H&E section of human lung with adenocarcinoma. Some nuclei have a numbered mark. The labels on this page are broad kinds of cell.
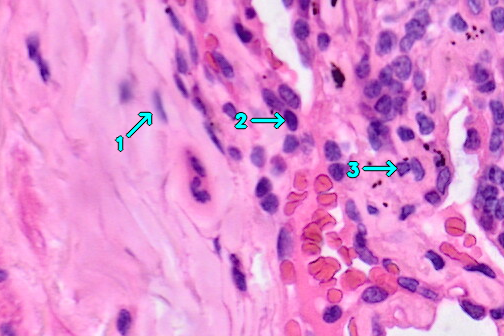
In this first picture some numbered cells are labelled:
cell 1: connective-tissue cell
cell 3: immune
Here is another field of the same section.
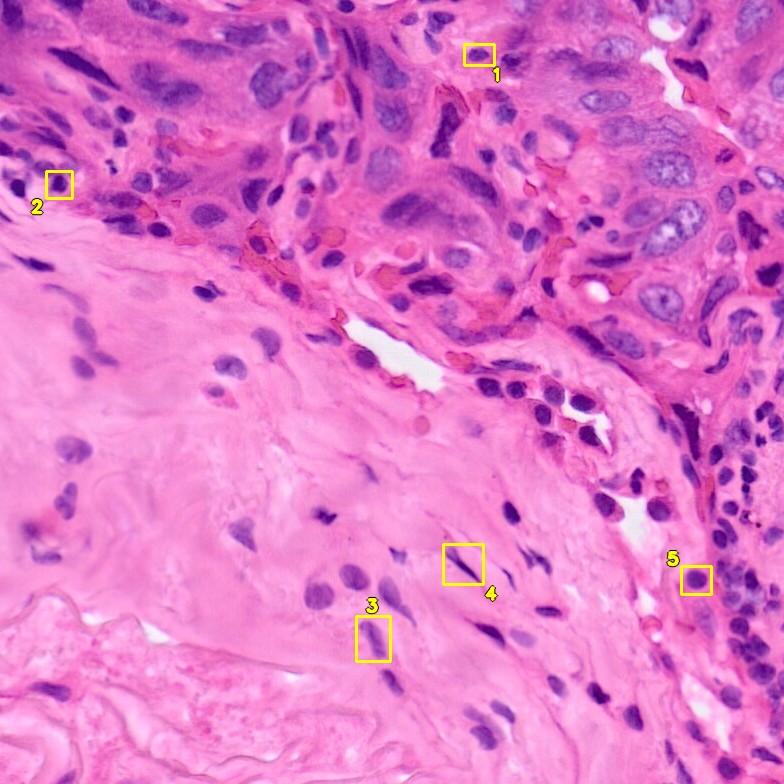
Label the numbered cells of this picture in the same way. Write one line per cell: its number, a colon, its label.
1: immune
2: immune
3: connective-tissue cell
4: connective-tissue cell
5: immune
